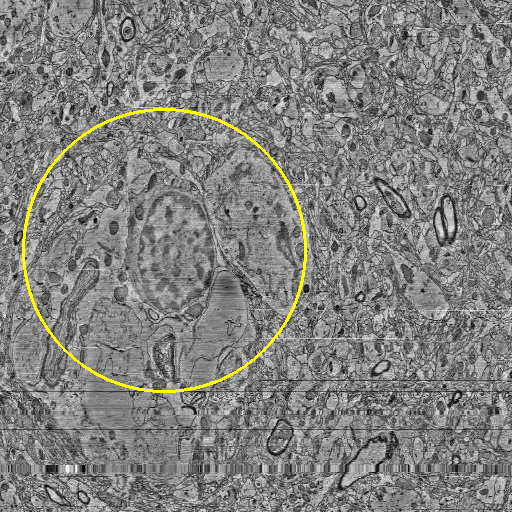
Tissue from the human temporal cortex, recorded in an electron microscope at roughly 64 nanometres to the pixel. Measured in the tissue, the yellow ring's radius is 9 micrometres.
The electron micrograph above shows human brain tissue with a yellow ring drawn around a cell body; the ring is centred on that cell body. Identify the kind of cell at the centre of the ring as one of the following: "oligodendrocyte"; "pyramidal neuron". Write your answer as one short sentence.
The cell at the centre of the ring is an oligodendrocyte.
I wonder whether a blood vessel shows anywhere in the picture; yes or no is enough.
Yes, one is visible.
